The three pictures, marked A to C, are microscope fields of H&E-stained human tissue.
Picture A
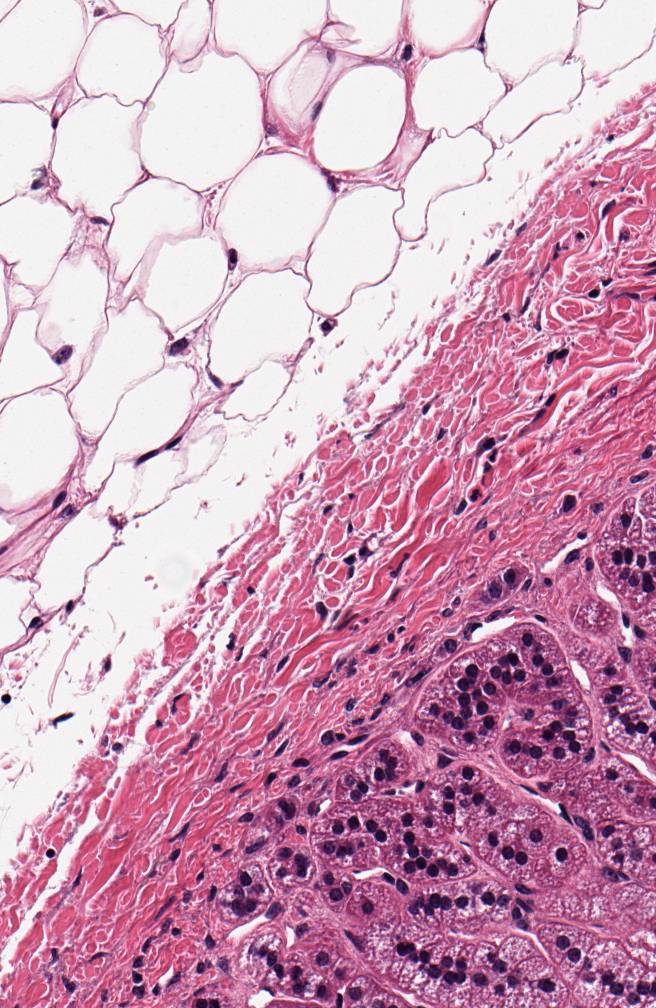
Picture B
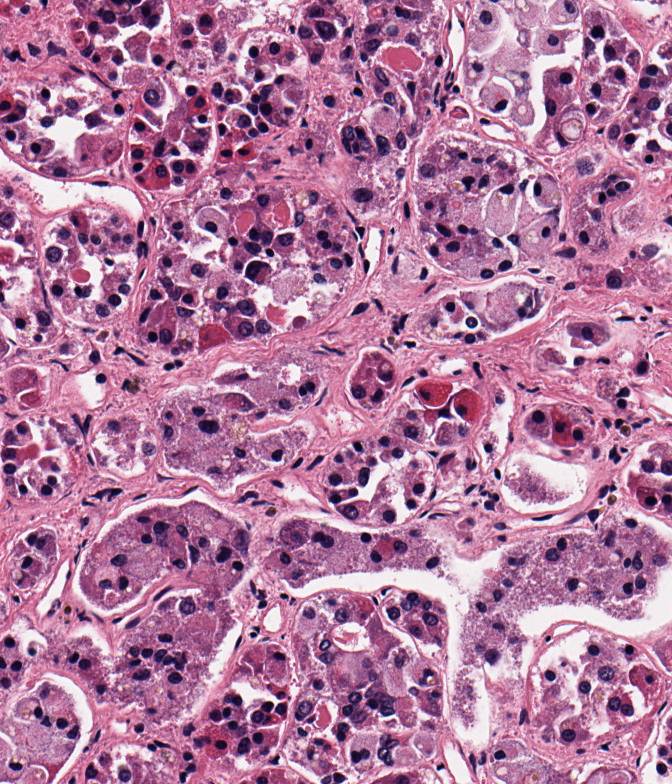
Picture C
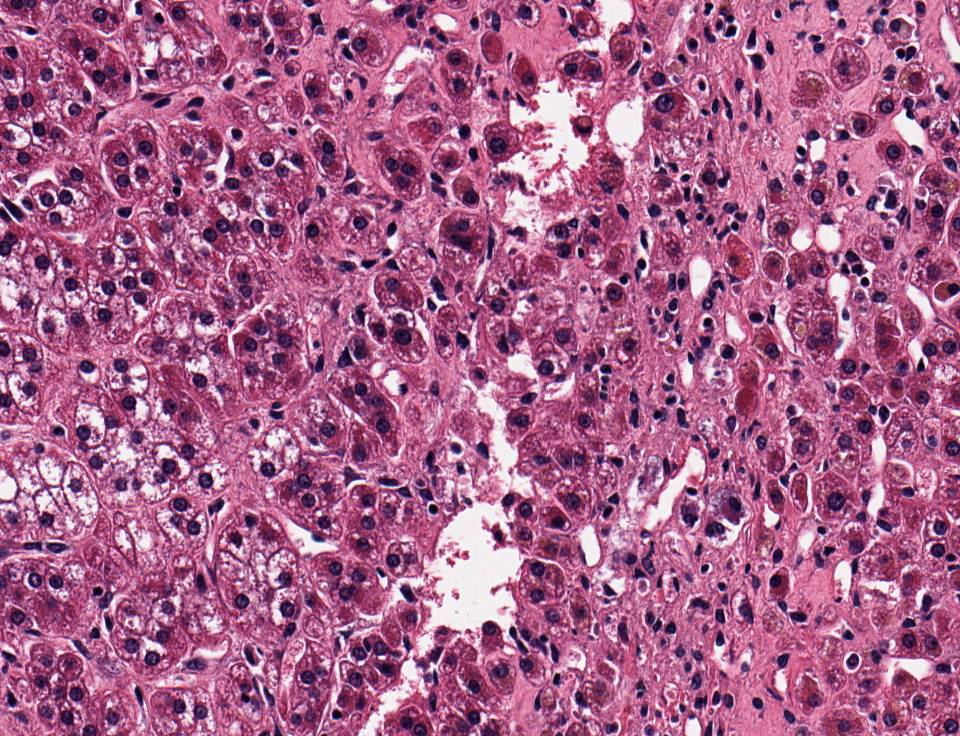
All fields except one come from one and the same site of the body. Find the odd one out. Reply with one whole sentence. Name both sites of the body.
Unlike the rest, which come from the adrenal gland, picture B comes from the pituitary.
